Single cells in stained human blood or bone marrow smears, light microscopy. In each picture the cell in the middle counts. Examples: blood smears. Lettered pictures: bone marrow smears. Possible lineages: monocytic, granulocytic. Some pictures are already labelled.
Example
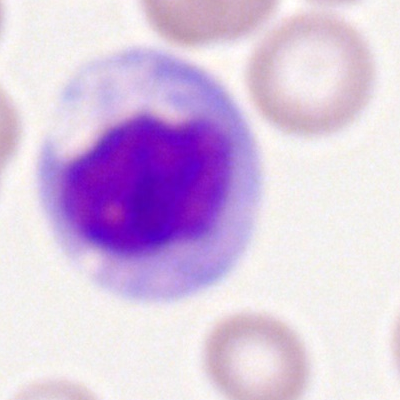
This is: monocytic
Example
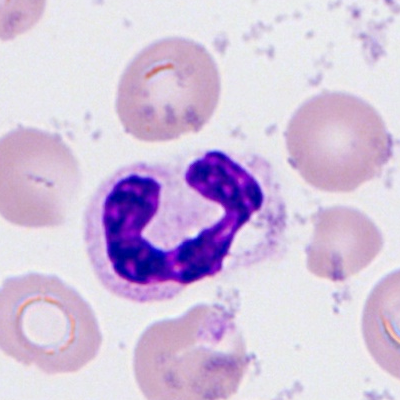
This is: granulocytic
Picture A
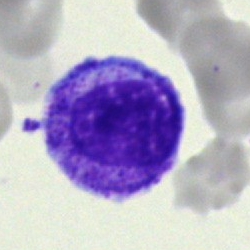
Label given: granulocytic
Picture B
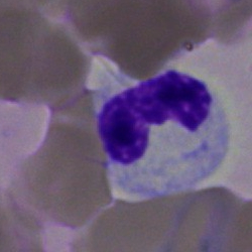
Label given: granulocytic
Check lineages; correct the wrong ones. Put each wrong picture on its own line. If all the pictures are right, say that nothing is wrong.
Nothing to fix; every label fits.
